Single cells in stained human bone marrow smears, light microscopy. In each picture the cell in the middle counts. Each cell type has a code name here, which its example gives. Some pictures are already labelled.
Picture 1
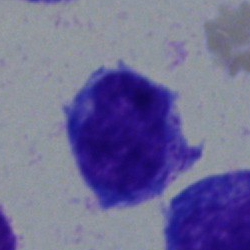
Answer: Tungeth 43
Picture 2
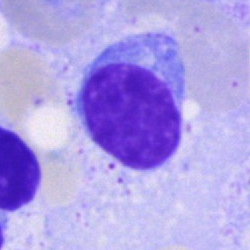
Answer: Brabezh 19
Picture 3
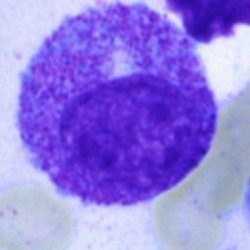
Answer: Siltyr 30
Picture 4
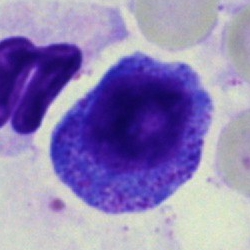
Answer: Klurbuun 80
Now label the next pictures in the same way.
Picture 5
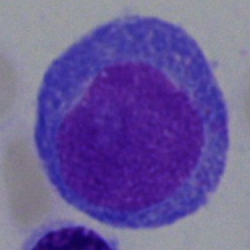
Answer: Tungeth 43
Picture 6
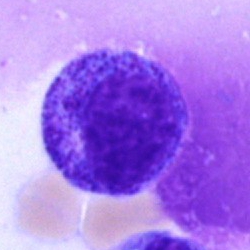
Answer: Klurbuun 80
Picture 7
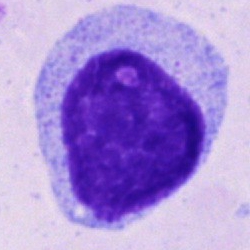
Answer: Klurbuun 80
